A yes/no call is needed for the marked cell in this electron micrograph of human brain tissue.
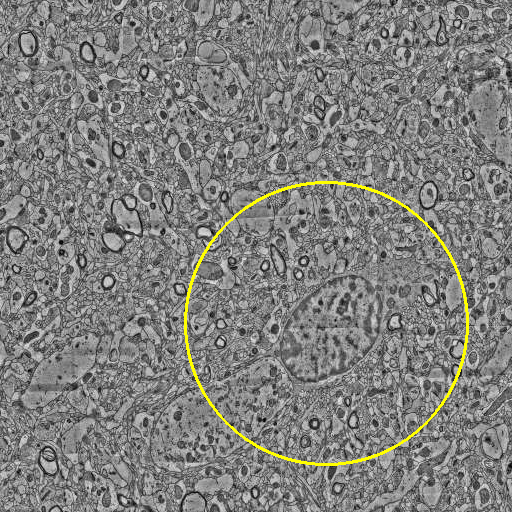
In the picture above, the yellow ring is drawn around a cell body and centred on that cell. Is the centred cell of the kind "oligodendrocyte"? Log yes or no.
yes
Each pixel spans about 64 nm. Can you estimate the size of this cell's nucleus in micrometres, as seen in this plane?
Approximately 8 micrometres long and 5 micrometres wide, in this plane.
